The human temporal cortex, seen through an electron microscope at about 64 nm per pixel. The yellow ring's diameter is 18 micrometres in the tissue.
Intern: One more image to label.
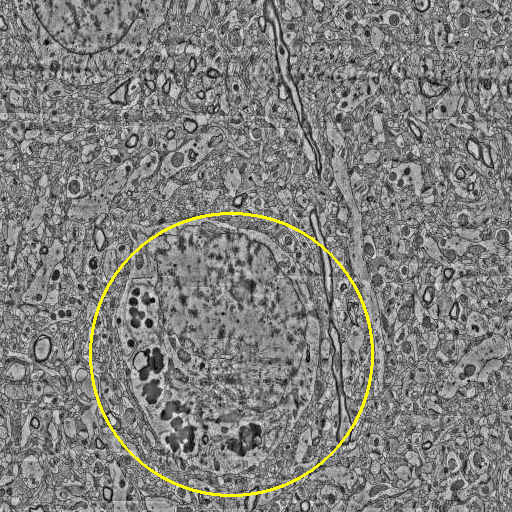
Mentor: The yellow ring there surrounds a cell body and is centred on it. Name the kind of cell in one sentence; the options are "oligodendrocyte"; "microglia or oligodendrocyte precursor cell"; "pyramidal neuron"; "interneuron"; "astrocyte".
The ring marks the cell body of an interneuron.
